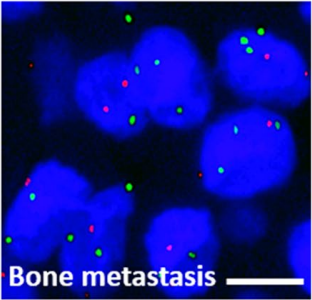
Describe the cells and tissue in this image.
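The nuclei vary in size and outline. Within each nucleus small discrete dots are scattered: bright green dots and smaller red dots. In most nuclei the green dots are more numerous than the red dots, some nuclei showing one red dot beside two or more green ones. The background between nuclei is dark.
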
